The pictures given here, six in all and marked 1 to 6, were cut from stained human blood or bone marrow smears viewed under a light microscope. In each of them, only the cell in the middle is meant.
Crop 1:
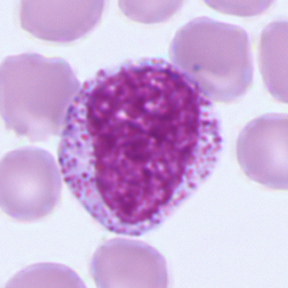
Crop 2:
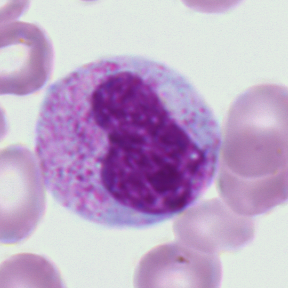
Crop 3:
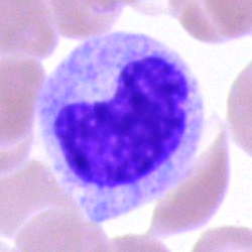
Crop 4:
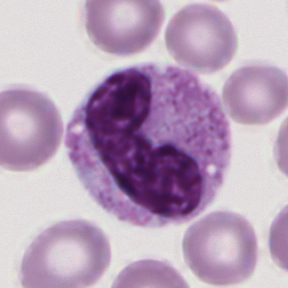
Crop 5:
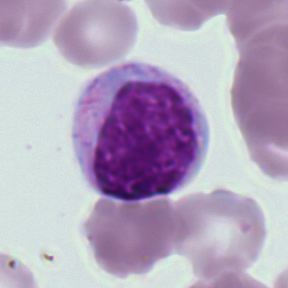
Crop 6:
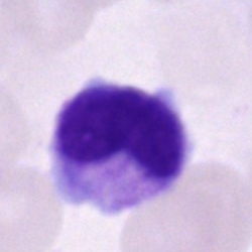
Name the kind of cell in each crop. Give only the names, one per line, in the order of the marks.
metamyelocyte
metamyelocyte
metamyelocyte
band neutrophil
metamyelocyte
metamyelocyte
